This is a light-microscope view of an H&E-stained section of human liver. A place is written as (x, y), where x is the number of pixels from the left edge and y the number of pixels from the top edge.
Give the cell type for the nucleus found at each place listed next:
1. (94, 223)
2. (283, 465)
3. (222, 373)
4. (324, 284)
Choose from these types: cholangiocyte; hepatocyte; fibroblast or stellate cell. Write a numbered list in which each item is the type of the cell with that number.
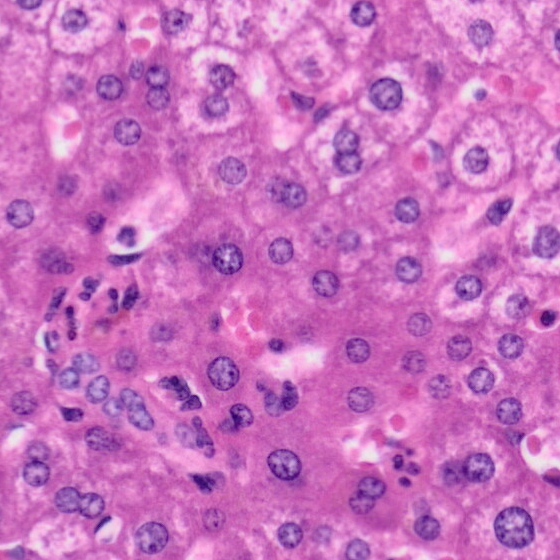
1. fibroblast or stellate cell
2. hepatocyte
3. hepatocyte
4. hepatocyte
